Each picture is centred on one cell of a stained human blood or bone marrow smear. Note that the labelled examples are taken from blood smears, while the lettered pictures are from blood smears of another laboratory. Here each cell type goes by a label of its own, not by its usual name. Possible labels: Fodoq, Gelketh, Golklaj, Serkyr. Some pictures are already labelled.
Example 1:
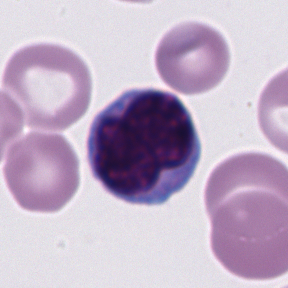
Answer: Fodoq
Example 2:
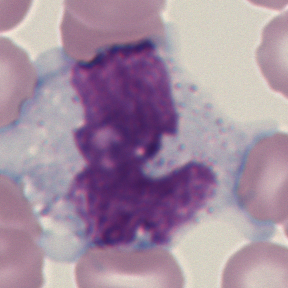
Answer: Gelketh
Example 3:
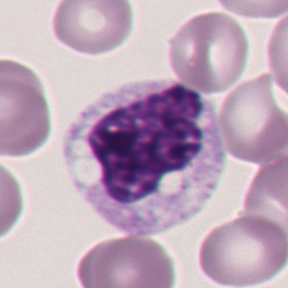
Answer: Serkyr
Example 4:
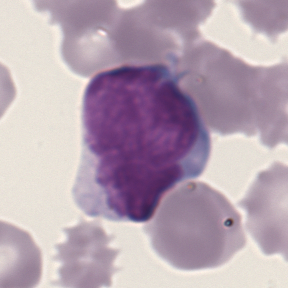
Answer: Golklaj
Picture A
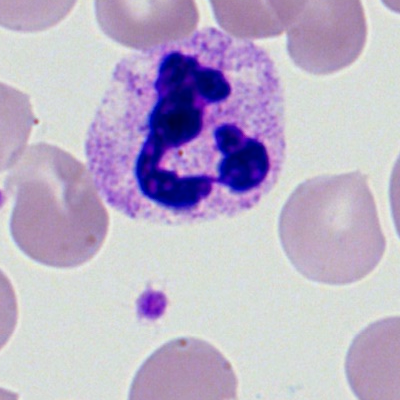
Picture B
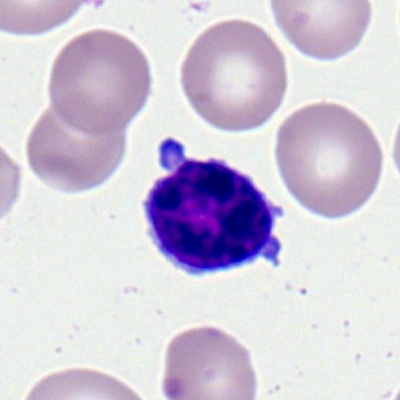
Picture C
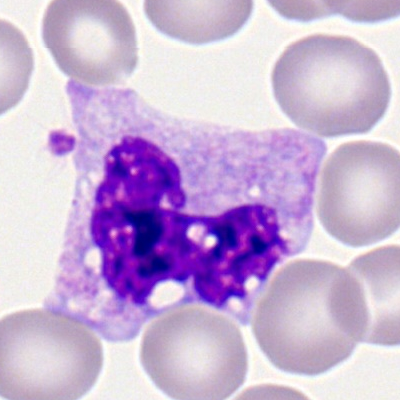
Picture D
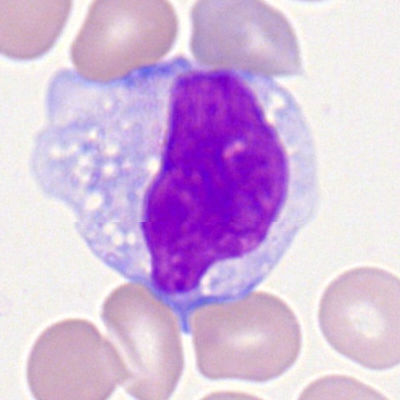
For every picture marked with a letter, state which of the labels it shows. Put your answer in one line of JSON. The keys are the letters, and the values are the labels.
{"A": "Serkyr", "B": "Fodoq", "C": "Gelketh", "D": "Gelketh"}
